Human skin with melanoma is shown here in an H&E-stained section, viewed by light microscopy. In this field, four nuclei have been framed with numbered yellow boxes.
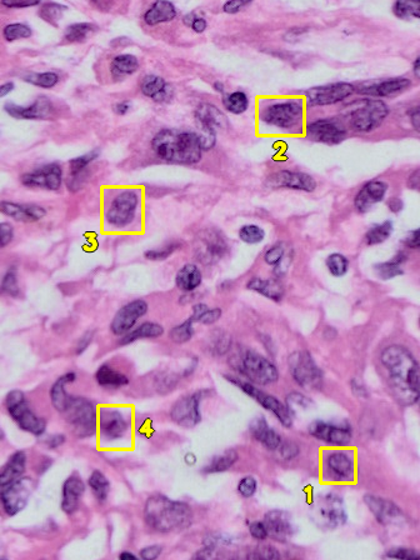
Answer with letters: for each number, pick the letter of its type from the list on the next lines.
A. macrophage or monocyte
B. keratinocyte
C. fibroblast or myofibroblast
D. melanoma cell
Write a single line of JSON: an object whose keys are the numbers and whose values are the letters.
{"1": "D", "2": "D", "3": "A", "4": "D"}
